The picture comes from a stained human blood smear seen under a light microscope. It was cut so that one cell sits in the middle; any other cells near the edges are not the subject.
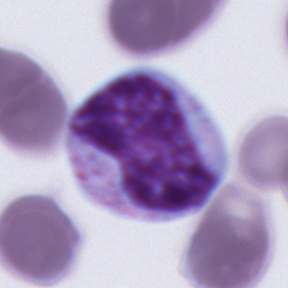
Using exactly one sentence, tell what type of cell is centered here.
Looking at the middle of the crop, the cell there is a band neutrophil.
